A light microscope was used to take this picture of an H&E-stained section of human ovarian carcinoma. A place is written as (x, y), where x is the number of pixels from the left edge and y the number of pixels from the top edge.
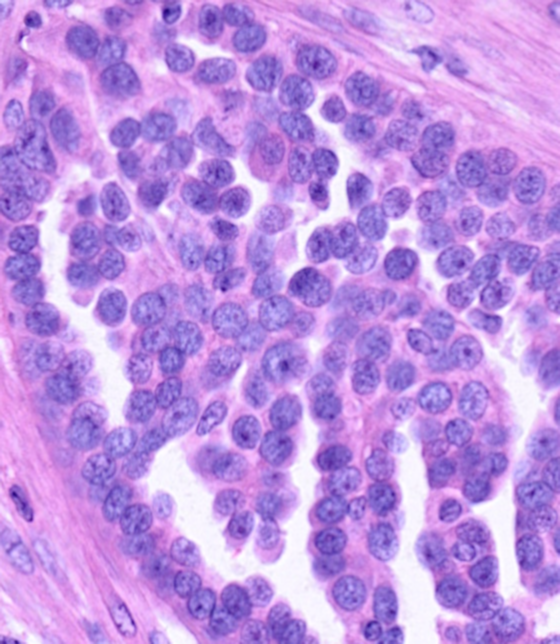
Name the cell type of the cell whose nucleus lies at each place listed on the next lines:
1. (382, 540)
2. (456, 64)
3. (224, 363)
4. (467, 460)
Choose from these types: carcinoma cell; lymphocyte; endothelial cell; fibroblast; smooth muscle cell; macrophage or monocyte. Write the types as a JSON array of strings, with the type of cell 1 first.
["carcinoma cell", "fibroblast", "carcinoma cell", "carcinoma cell"]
